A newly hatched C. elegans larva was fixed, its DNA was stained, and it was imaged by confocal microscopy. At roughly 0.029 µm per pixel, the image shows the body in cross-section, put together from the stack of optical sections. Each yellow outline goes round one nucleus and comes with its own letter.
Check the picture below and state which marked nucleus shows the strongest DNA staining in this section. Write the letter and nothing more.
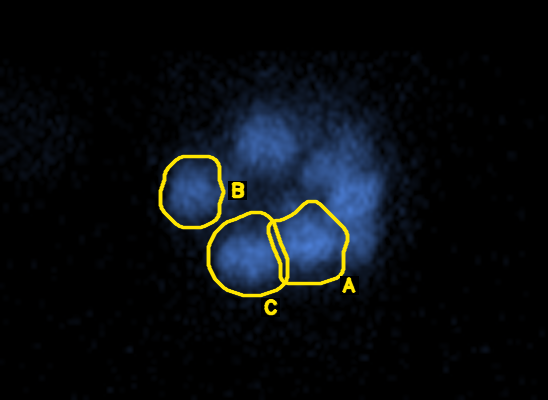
A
